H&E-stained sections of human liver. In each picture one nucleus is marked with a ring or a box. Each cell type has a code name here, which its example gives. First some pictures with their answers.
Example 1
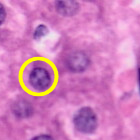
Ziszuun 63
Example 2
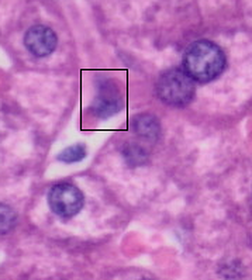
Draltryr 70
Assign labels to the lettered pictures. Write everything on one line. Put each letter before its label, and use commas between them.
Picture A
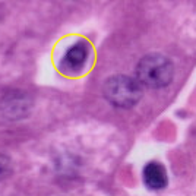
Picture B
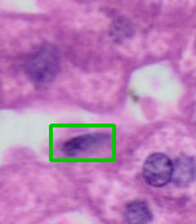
A Draltryr 70, B Draltryr 70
